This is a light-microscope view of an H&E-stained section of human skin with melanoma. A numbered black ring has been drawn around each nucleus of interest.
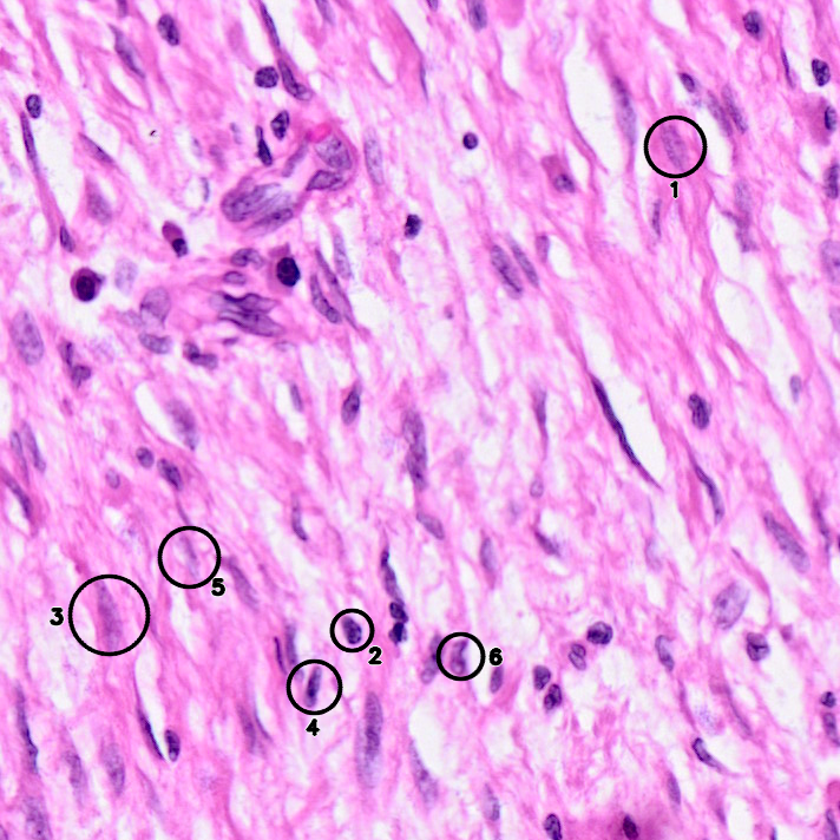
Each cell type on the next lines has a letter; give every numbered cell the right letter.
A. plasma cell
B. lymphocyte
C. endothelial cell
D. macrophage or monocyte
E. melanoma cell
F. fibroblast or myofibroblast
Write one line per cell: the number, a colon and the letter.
1: F
2: B
3: F
4: B
5: F
6: F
